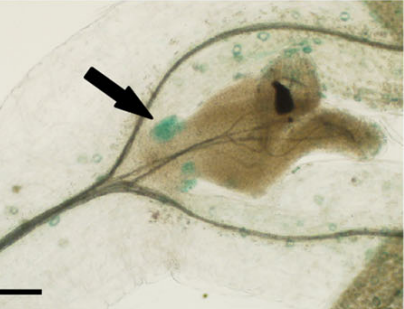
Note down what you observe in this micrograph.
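Shoot apex region of a seedling seen between the bases of the cotyledons, with a dense brownish mass of young tissue at the center. Dark vascular strands run from the apex out along the cotyledon stalks. A small bulge at the edge of the apical tissue is stained blue-green, and small ring-shaped stomata scattered over the pale cotyledon surface are also faintly blue-green.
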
